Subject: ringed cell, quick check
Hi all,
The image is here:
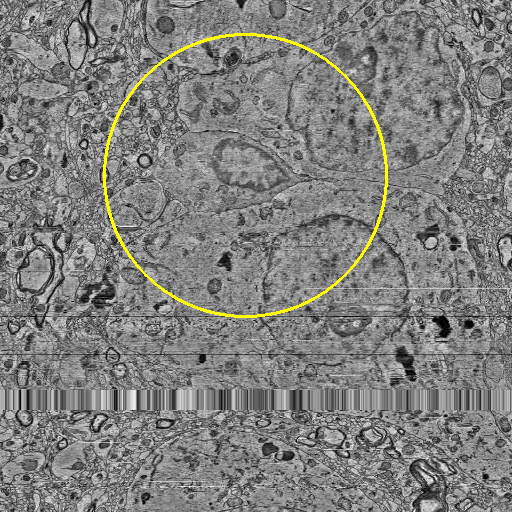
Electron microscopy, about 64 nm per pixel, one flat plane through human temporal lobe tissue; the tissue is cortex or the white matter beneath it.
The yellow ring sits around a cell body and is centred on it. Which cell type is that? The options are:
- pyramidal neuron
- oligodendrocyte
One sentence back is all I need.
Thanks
That ringed cell is an oligodendrocyte.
